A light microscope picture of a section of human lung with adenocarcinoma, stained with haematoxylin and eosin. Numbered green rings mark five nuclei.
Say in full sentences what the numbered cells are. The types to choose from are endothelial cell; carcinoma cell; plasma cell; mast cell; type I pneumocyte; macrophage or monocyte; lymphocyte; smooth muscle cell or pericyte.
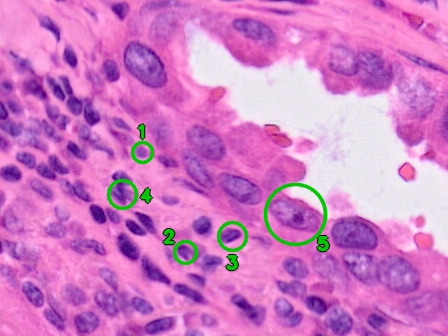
Cell 1 is a lymphocyte, cell 2 is a plasma cell, cell 3 is a lymphocyte, cell 4 is a lymphocyte and cell 5 is a carcinoma cell.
